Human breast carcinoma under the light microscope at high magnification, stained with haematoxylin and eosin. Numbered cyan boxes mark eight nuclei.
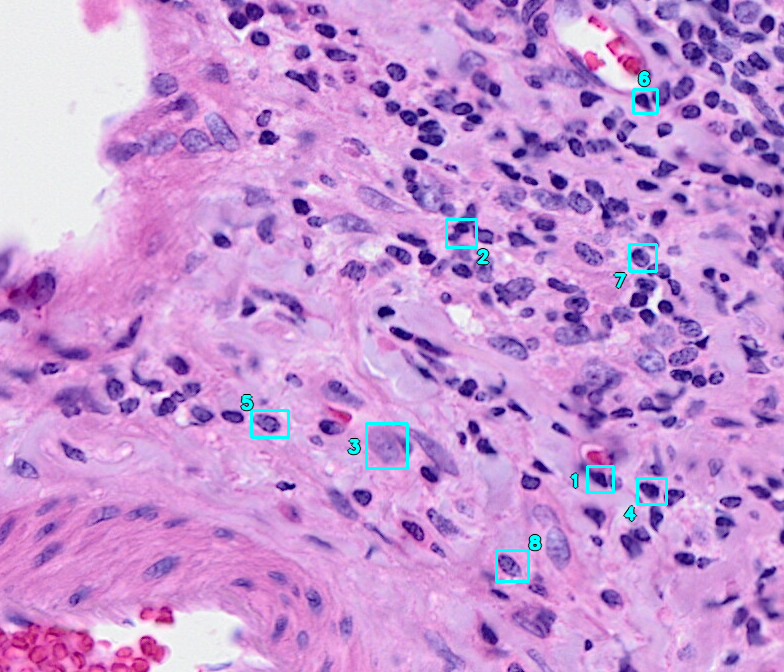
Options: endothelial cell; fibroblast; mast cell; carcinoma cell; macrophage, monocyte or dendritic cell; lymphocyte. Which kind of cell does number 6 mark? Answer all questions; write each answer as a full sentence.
Among the marked nuclei, number 6 belongs to a lymphocyte.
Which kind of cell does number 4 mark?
Among the marked cells, number 4 is a lymphocyte.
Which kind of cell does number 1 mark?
Number 1 among the marked cells is a lymphocyte.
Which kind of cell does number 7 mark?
The cell marked with number 7 is a lymphocyte.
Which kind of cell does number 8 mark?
In the tissue shown, cell 8 is a mast cell.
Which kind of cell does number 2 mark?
Cell 2 is classified as a lymphocyte.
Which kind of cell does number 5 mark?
The cell pointed out by number 5 is a mast cell.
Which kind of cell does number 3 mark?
The mark numbered 3 indicates the nucleus of an endothelial cell.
